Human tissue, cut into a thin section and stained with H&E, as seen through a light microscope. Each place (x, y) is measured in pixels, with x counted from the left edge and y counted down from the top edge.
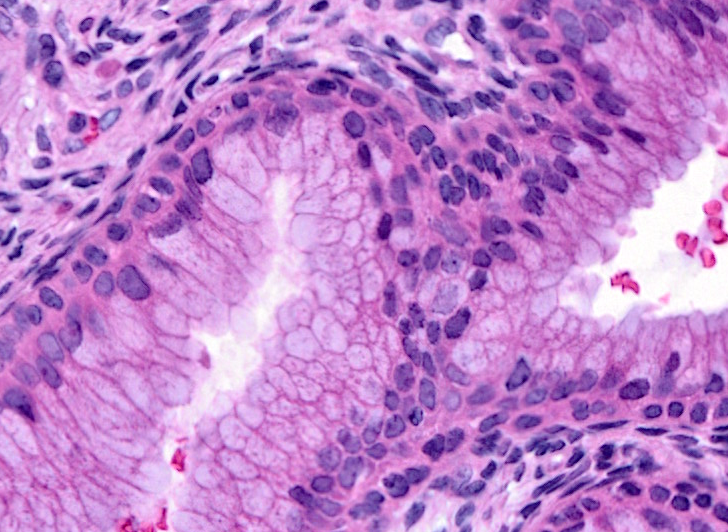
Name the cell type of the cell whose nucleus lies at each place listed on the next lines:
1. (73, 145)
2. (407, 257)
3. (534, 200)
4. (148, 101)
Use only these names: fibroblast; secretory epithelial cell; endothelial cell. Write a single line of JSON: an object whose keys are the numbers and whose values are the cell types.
{"1": "endothelial cell", "2": "secretory epithelial cell", "3": "secretory epithelial cell", "4": "fibroblast"}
